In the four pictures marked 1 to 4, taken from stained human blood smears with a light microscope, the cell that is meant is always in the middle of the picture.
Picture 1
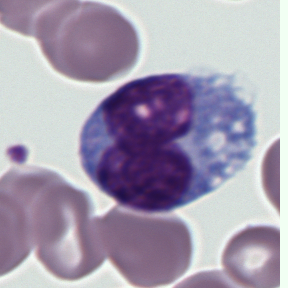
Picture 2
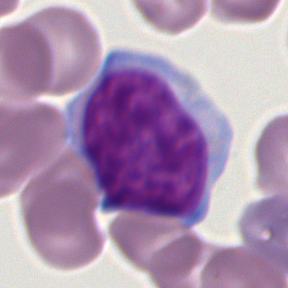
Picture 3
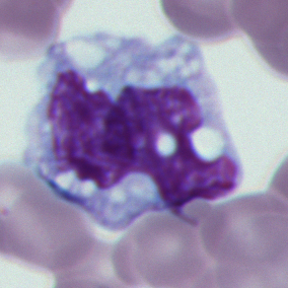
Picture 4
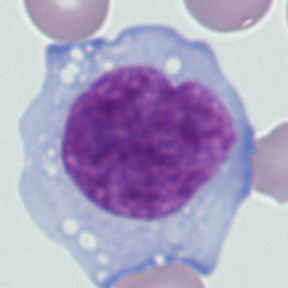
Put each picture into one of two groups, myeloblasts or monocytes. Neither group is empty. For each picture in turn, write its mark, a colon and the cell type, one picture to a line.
1: monocyte
2: myeloblast
3: monocyte
4: myeloblast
